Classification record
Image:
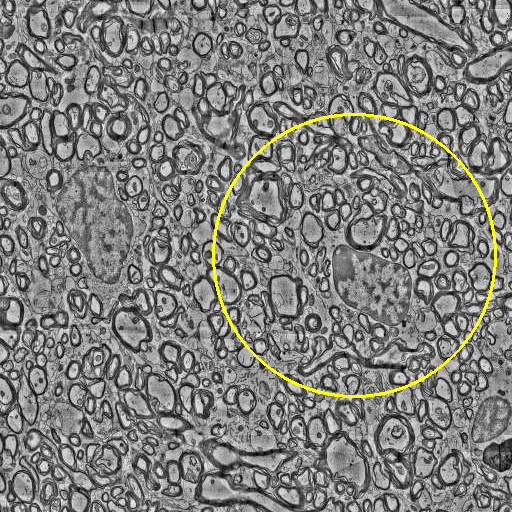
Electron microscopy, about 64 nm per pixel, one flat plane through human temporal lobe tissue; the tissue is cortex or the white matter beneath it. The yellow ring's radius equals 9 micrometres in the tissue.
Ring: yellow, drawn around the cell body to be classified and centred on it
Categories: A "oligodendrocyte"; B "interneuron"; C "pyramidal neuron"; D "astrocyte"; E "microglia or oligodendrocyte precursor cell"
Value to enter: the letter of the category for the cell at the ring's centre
E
